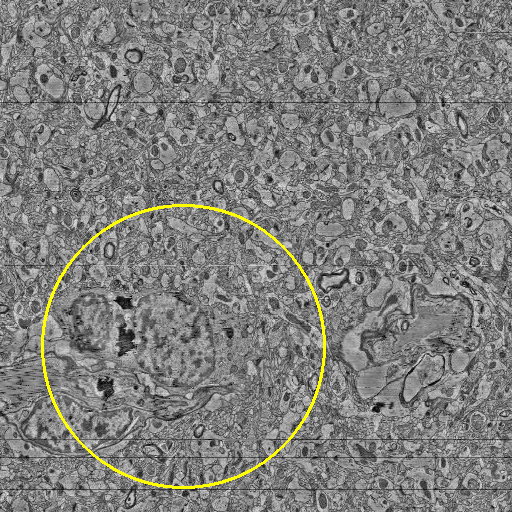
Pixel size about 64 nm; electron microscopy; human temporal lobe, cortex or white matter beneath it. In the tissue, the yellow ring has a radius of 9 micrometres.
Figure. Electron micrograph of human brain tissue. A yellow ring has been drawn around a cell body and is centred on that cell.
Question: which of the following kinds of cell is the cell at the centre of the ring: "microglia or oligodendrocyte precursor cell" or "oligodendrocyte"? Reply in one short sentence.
The cell at the centre of the ring is an oligodendrocyte.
